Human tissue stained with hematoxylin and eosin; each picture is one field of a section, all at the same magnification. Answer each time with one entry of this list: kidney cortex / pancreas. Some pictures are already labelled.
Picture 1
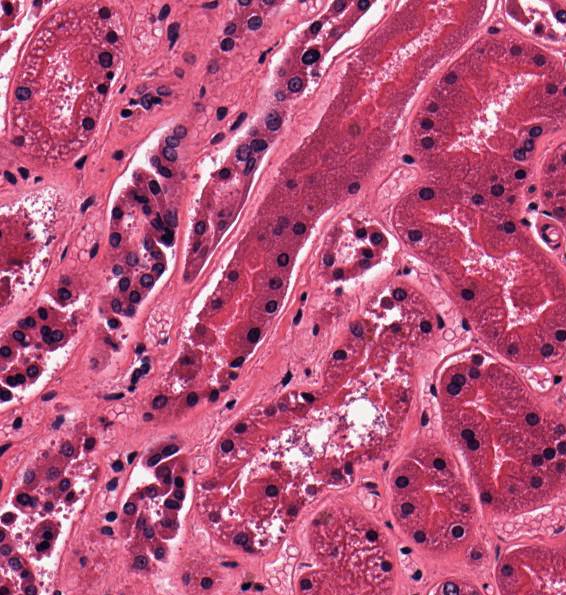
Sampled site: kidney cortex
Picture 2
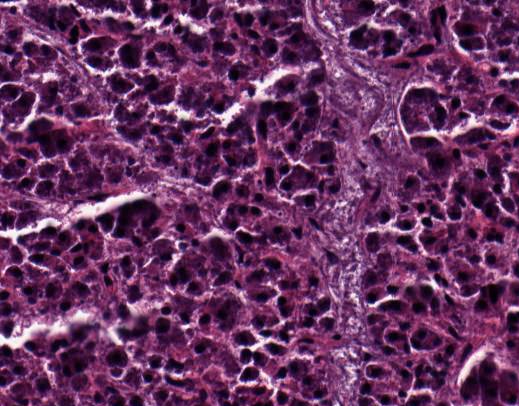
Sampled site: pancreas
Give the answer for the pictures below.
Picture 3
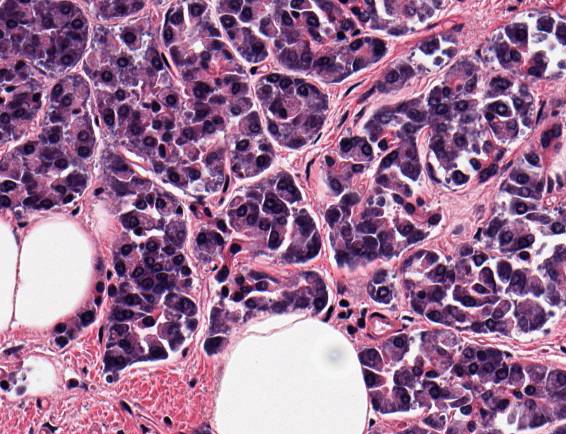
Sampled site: pancreas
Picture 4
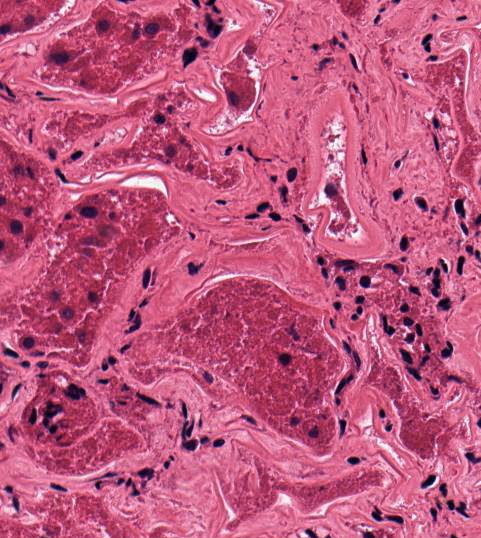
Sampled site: kidney cortex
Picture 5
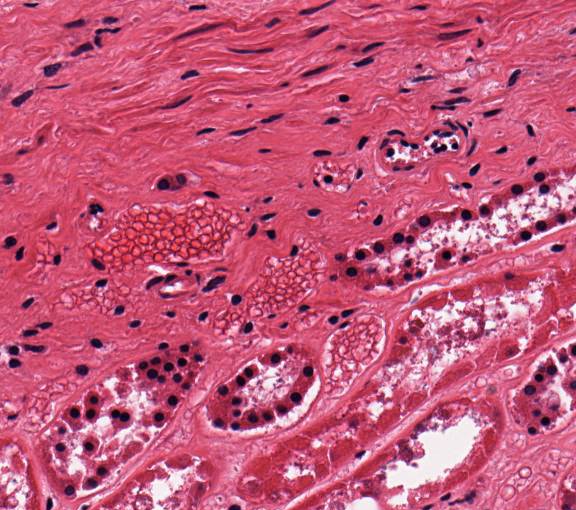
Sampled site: kidney cortex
